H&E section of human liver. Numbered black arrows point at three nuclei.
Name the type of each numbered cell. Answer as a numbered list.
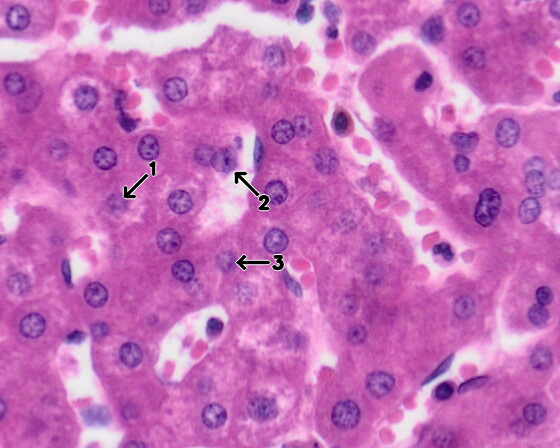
1. hepatocyte
2. Kupffer cell
3. hepatocyte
